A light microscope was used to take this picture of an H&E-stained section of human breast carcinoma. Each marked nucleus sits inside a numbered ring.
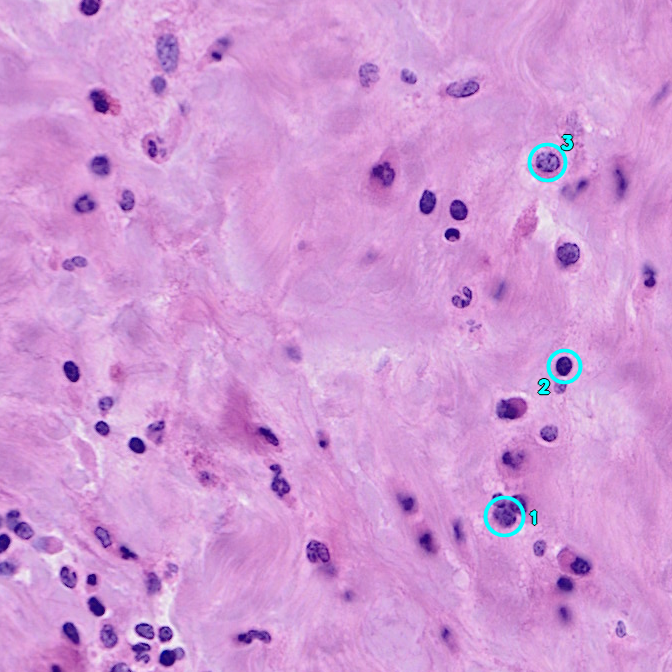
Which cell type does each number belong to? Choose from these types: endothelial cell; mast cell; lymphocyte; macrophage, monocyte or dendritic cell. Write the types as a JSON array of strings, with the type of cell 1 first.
["lymphocyte", "lymphocyte", "mast cell"]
